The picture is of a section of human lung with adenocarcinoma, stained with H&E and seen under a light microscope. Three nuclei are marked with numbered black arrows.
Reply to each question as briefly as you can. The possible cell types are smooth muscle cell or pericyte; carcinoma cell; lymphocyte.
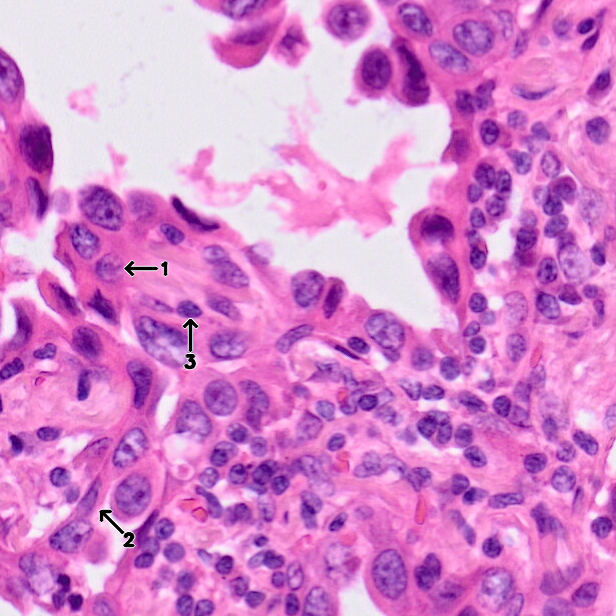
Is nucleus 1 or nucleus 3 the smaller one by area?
3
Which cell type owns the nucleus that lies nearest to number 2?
lymphocyte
